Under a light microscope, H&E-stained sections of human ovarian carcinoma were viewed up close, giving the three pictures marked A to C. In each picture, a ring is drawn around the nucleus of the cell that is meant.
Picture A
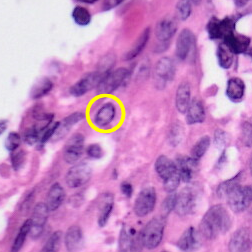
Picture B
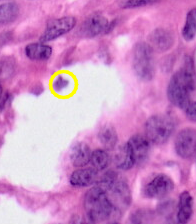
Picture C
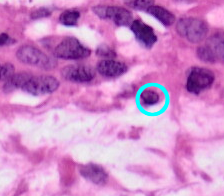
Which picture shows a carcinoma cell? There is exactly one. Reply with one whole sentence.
The picture with the carcinoma cell is B.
